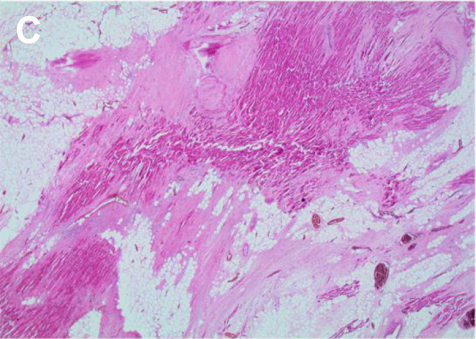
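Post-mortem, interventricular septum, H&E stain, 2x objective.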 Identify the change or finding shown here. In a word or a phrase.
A: fatty infiltration and fibrosis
